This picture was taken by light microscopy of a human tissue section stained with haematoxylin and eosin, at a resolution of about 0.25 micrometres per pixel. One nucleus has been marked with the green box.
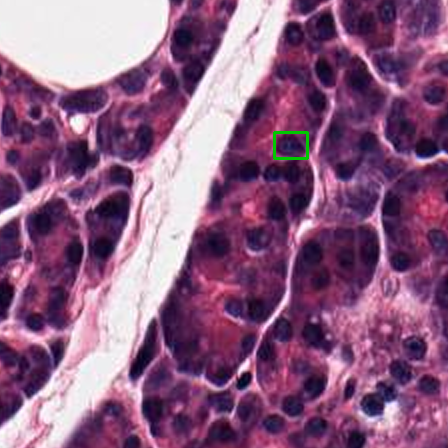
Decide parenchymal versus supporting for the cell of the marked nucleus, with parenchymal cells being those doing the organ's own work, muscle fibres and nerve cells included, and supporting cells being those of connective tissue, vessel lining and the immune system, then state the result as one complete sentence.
It is the nucleus of a pancreatic acinar cell, a parenchymal cell, that is marked.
